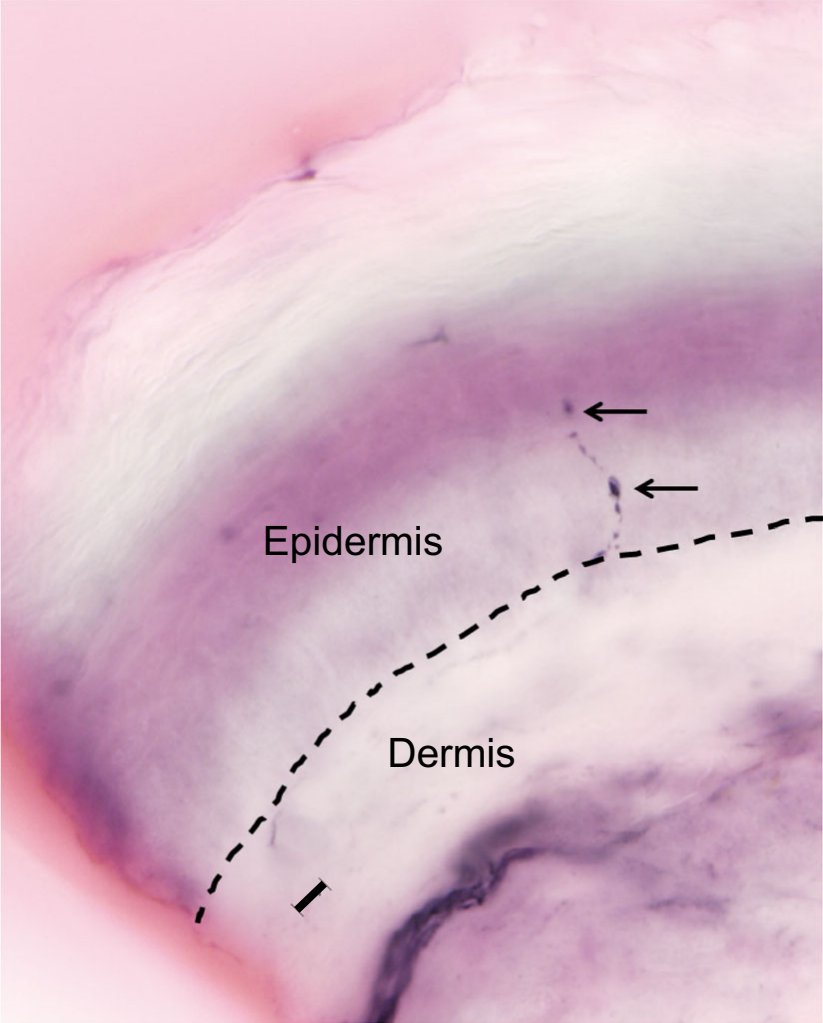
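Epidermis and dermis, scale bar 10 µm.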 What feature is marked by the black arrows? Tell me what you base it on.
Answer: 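A thin, beaded, dark purple fibre runs upward from the dashed line into the epidermis. The arrows point to dark oval enlargements along this fibre, wider than the thread between them. That points to this answer: nerve swellings.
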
